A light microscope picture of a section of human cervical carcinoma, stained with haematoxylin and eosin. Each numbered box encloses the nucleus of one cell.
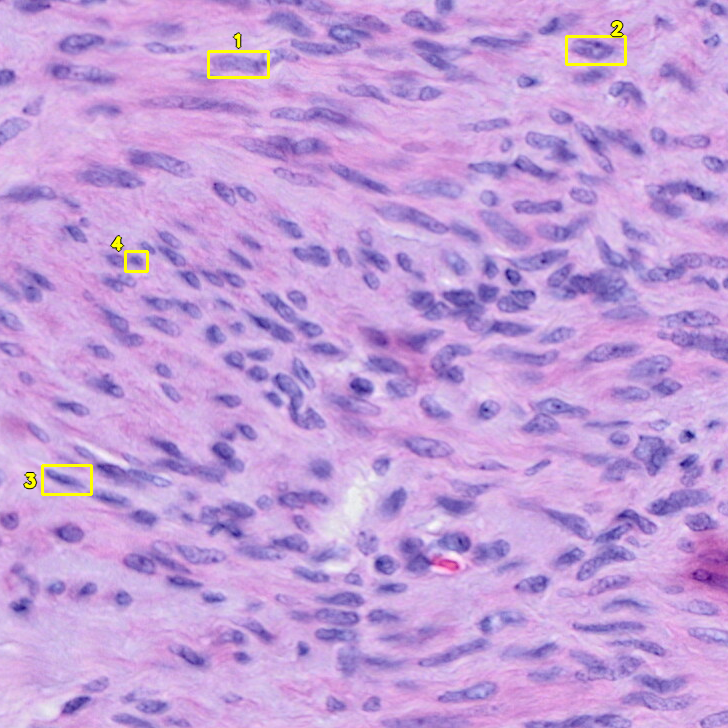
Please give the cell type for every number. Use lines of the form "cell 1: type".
cell 1: smooth muscle cell
cell 2: smooth muscle cell
cell 3: fibroblast
cell 4: smooth muscle cell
